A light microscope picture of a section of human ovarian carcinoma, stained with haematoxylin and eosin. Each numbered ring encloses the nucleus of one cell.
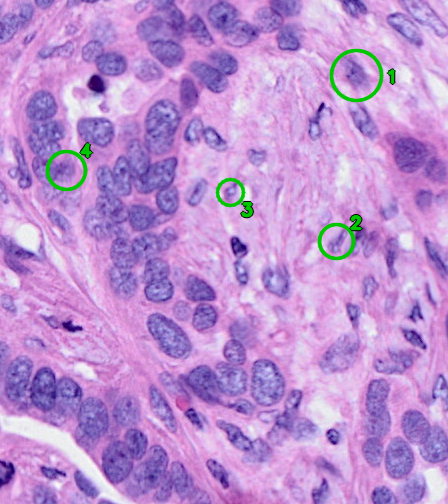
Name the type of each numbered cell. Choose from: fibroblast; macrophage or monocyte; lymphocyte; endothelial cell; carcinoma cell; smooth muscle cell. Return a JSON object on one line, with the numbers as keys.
{"1": "fibroblast", "2": "fibroblast", "3": "fibroblast", "4": "carcinoma cell"}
